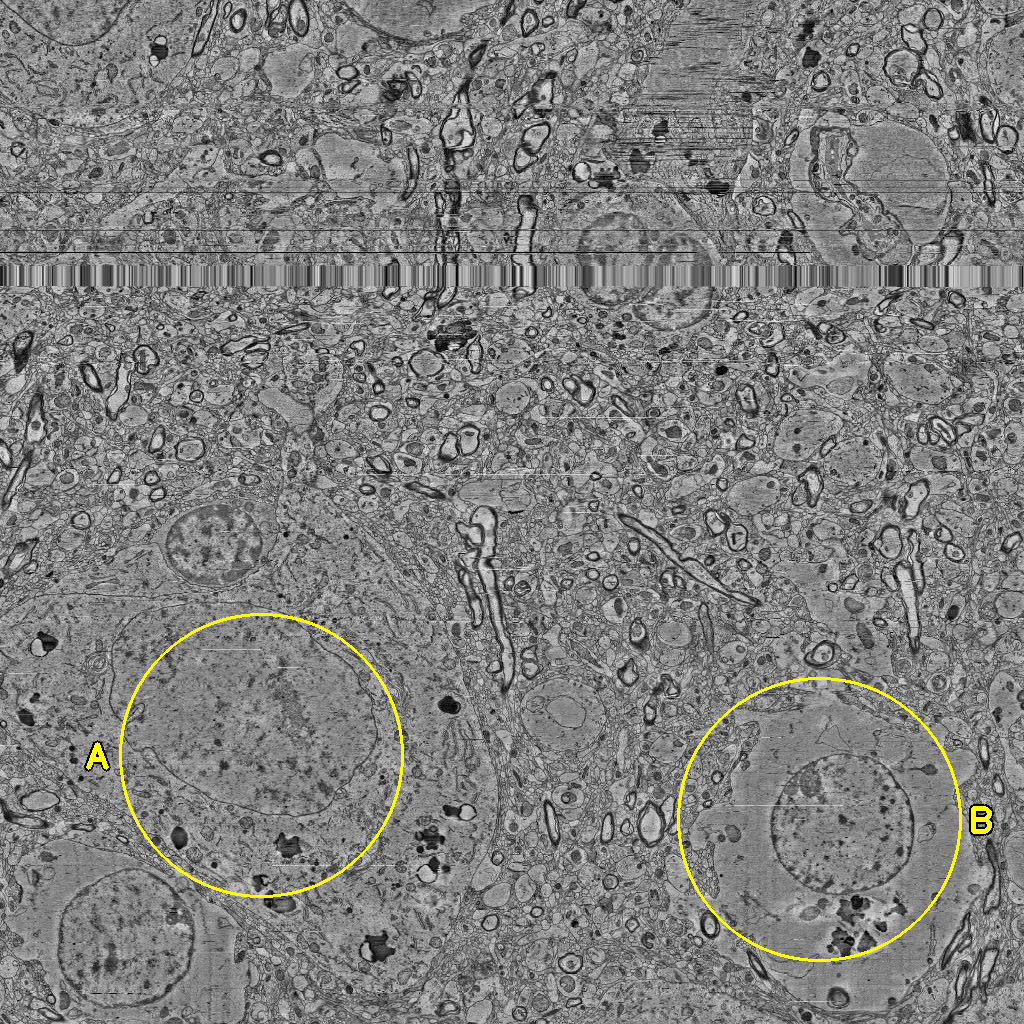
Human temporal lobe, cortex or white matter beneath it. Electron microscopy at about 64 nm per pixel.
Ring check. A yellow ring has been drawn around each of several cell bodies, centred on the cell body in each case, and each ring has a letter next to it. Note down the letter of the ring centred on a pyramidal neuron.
A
